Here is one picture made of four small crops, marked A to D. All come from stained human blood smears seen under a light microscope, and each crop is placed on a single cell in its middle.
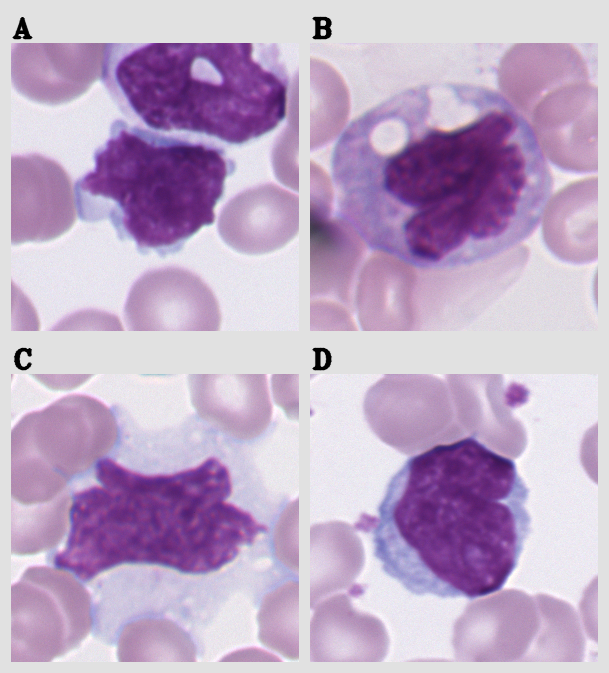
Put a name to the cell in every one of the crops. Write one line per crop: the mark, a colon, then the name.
A: typical lymphocyte
B: monocyte
C: monocyte
D: typical lymphocyte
